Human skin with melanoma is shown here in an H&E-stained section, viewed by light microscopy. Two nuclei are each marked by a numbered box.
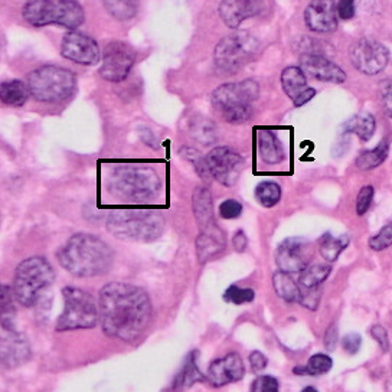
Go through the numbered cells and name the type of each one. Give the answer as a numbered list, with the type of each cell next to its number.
1. melanoma cell
2. macrophage or monocyte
